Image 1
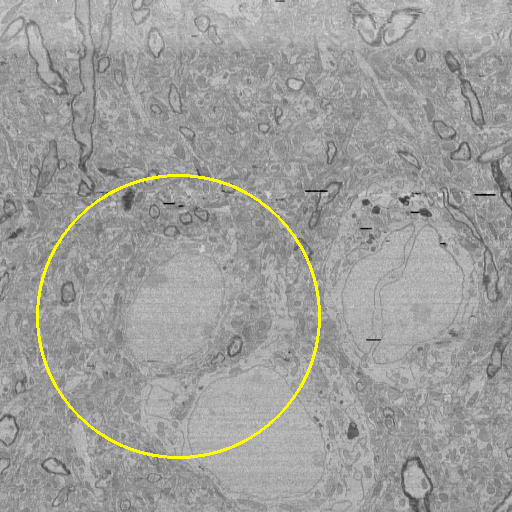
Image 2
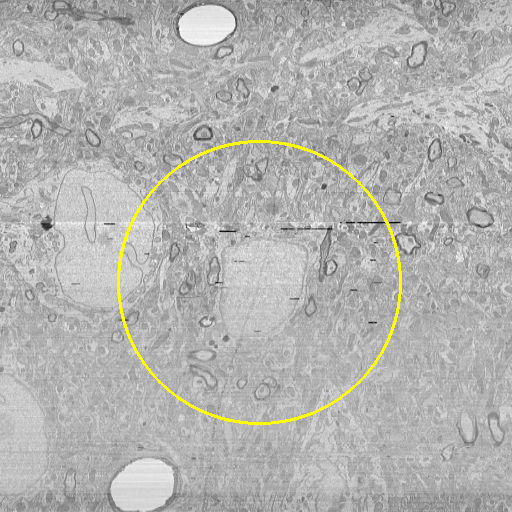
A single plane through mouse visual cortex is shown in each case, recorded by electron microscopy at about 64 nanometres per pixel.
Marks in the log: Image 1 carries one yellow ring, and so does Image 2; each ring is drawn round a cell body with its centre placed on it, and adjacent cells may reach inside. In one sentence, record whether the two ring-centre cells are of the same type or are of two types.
The two cells at the ring centres, one in each image, are of the same type.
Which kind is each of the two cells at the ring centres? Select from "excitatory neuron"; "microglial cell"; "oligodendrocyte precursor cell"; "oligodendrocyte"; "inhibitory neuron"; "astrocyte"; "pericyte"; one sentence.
In the first picture and in the second, the ring is centred on an astrocyte.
